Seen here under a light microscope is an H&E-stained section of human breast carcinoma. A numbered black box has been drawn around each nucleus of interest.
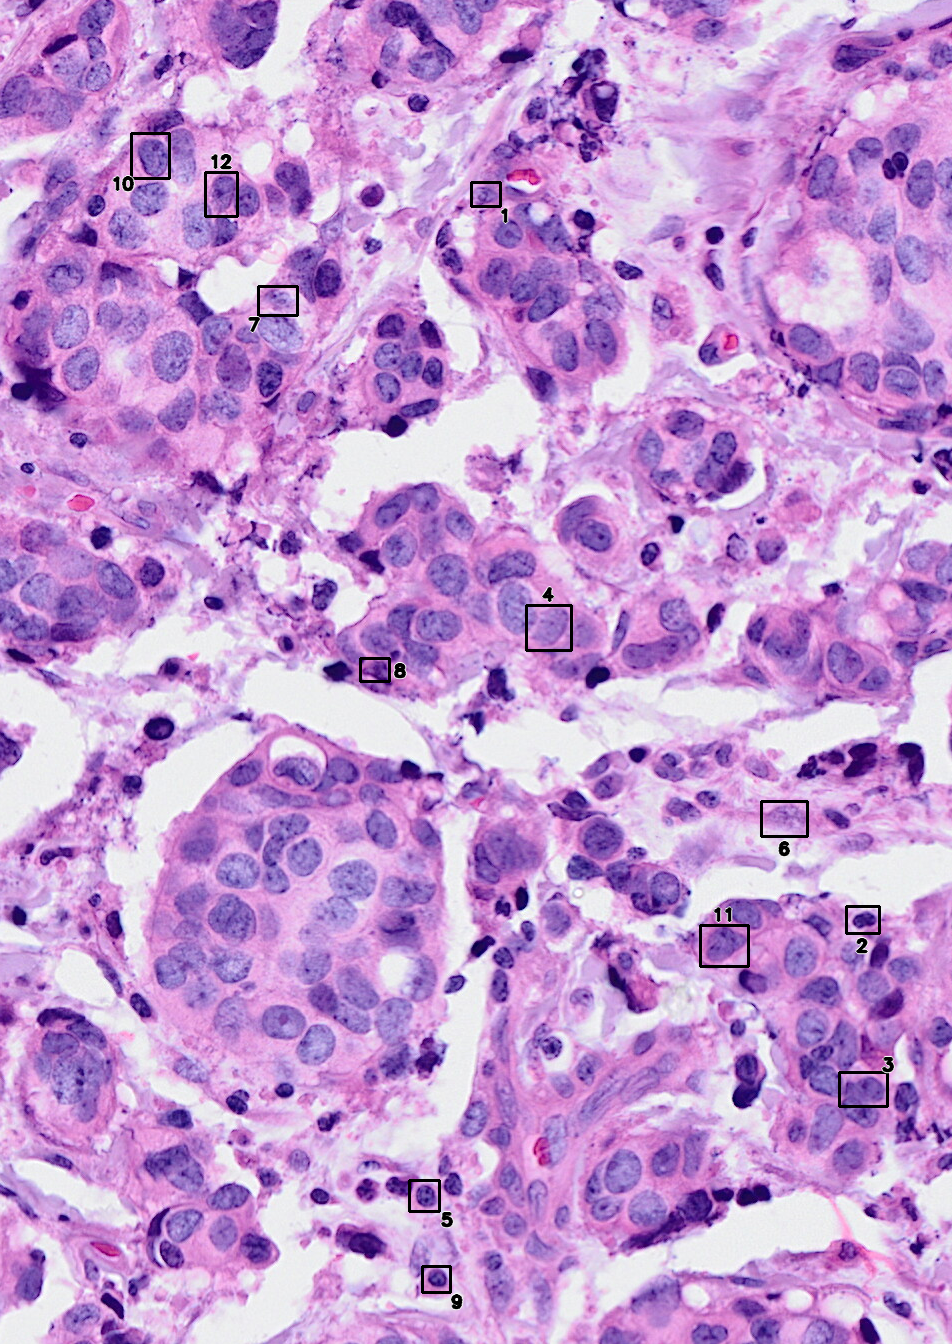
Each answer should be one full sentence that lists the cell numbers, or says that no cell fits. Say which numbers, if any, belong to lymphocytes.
Cell 2 is the single numbered cell that is a lymphocyte.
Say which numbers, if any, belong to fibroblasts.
Among the numbered cells, cell 6 alone is a fibroblast.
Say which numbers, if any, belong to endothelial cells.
Only one marked cell, number 1, is an endothelial cell.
